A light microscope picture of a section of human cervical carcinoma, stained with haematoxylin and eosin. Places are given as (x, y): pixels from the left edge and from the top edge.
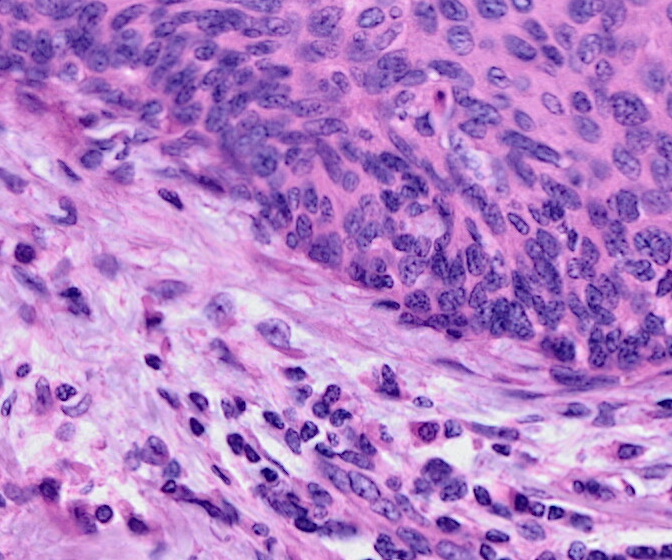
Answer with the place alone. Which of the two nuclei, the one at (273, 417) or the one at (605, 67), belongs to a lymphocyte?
(273, 417)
